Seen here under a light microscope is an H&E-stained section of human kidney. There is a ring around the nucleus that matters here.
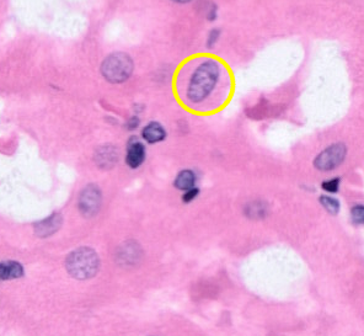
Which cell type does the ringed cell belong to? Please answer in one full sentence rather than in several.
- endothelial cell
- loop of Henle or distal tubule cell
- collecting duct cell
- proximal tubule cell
As to its cell type, the ringed cell is a proximal tubule cell.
